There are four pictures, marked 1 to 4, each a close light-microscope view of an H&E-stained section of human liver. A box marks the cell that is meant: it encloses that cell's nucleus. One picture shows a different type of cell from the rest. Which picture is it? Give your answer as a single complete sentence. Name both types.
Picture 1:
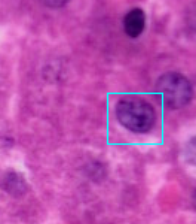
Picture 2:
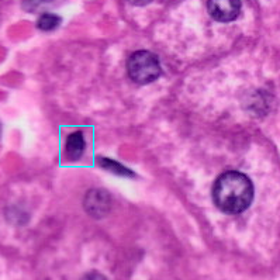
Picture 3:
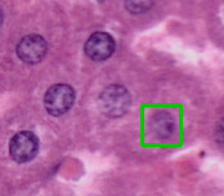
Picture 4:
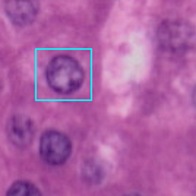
All pictures except 2 show hepatocytes; picture 2 shows a “fibroblast or stellate cell”.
